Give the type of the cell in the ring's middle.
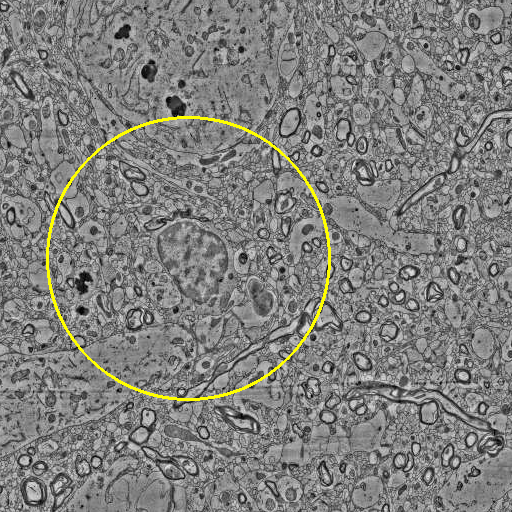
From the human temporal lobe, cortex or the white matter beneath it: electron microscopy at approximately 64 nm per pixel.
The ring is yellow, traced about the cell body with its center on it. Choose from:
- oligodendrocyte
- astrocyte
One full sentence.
Here, an oligodendrocyte is the cell lying at the center of the yellow ring.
